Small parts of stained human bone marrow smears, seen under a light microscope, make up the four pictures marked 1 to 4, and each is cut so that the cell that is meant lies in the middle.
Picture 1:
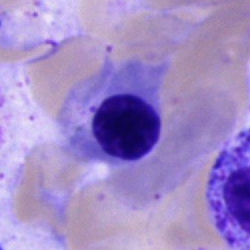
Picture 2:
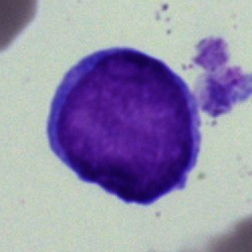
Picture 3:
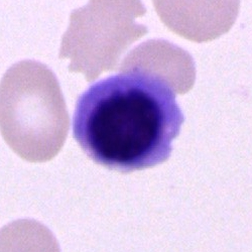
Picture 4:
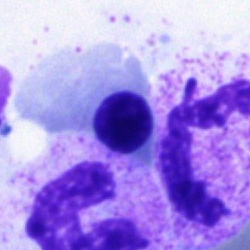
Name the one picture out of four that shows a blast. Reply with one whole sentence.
The cell in picture 2 is the blast.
